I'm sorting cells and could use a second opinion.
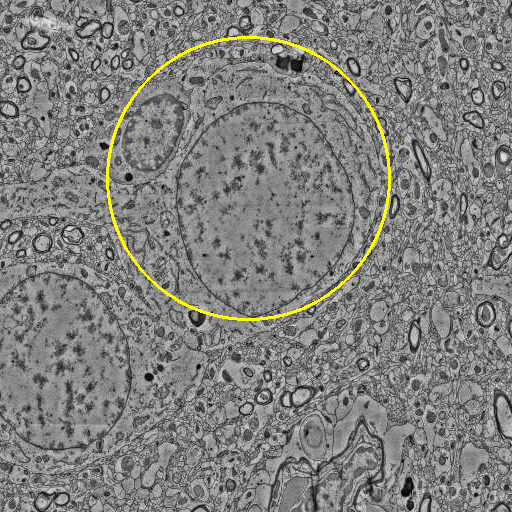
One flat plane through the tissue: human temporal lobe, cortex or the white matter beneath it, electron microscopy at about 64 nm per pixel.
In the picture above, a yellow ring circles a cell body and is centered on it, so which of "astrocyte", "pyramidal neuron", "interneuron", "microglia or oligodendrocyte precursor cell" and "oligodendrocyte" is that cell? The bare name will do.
pyramidal neuron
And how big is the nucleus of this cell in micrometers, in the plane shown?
The nucleus has a long axis of about 14 micrometres and a short axis of about 12 micrometres in this plane.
